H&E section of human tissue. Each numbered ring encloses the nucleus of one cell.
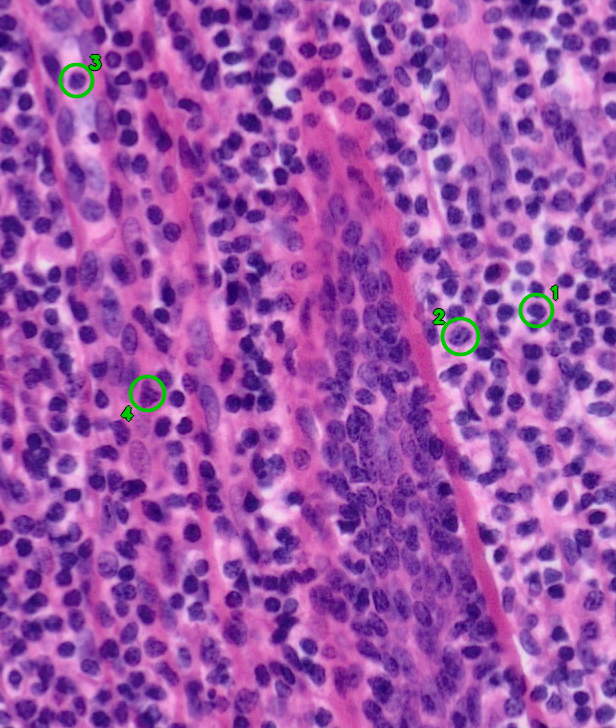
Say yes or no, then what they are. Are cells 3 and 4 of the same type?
Yes, the two numbered cells 3 and 4 are both endothelial cells.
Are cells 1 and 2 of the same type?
No, cell 1 should be called a small lymphocyte, and cell 2 should be called a plasma cell.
